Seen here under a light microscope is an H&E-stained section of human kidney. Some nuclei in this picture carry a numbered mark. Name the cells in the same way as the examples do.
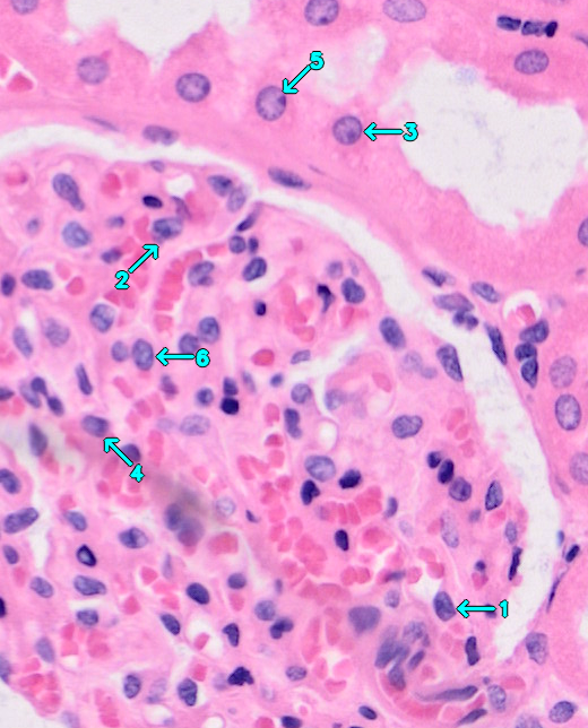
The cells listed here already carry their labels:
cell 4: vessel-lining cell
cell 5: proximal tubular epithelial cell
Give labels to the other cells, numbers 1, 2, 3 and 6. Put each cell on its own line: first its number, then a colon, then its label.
1: vessel-lining cell
2: vessel-lining cell
3: proximal tubular epithelial cell
6: vessel-lining cell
